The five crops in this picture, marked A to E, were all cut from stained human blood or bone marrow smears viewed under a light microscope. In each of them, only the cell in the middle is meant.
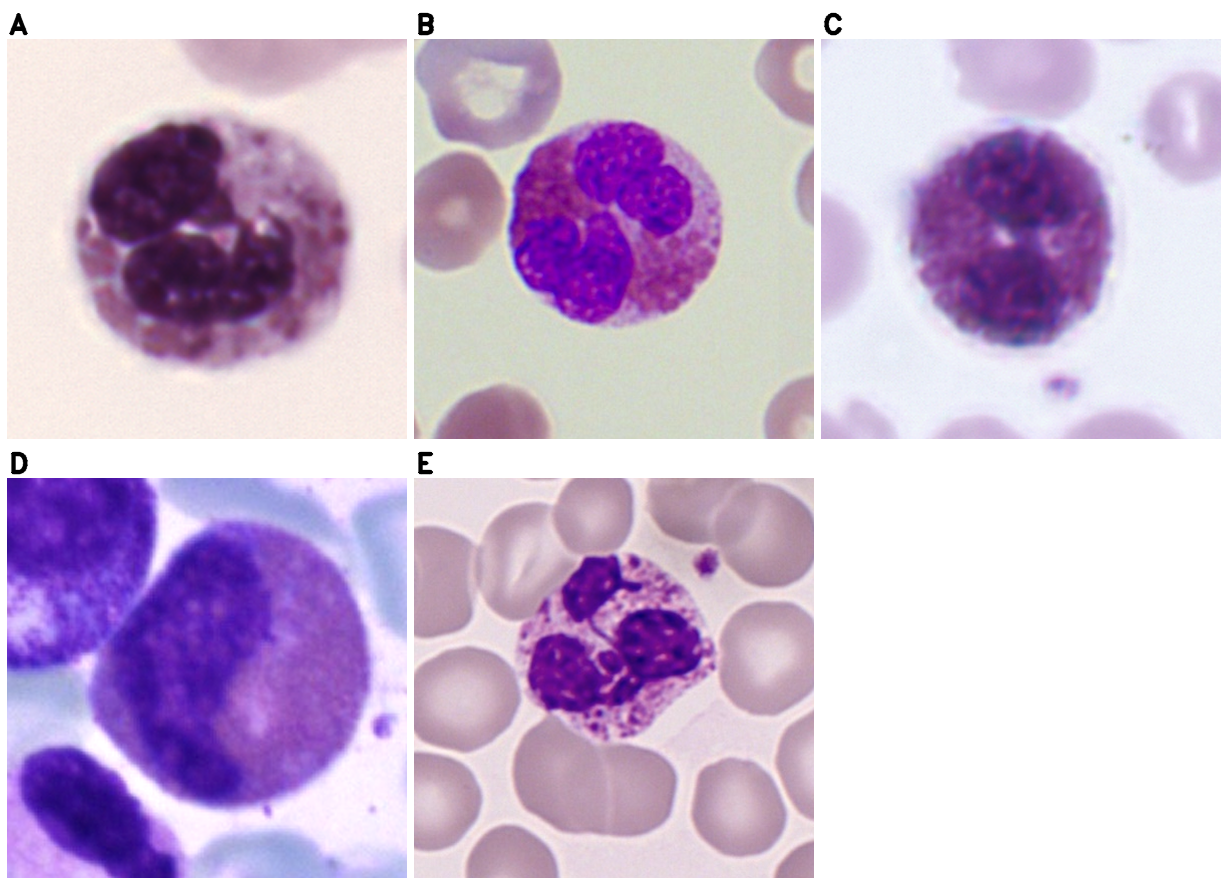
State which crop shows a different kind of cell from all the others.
E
